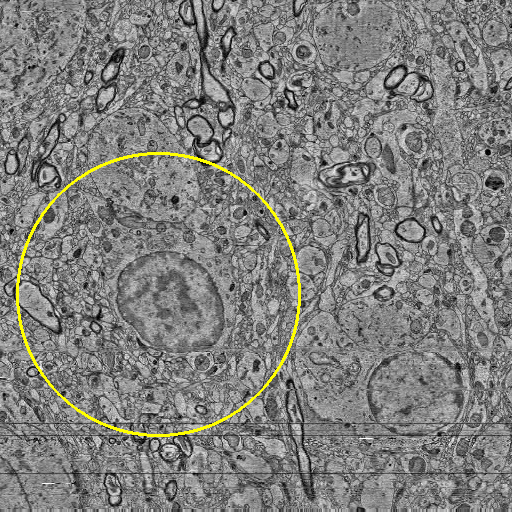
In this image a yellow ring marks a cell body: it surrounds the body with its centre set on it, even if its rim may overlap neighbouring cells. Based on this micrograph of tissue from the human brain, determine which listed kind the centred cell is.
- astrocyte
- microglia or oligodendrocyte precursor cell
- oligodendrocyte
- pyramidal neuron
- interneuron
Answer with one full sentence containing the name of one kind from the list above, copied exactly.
It is an oligodendrocyte whose body the yellow ring encloses at its centre.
